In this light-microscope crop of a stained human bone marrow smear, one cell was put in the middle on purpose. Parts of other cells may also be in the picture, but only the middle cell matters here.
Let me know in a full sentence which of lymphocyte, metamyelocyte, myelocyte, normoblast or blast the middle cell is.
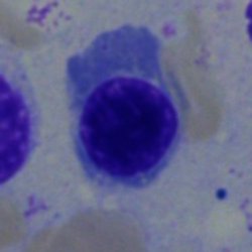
The middle position in this crop is taken by a normoblast.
